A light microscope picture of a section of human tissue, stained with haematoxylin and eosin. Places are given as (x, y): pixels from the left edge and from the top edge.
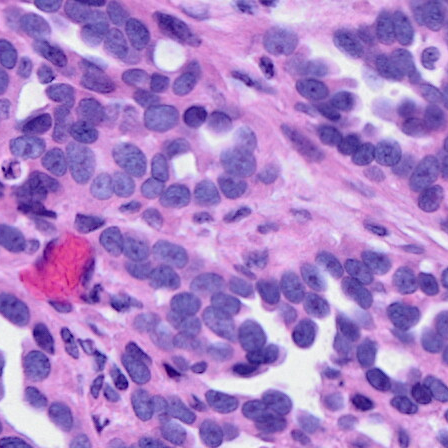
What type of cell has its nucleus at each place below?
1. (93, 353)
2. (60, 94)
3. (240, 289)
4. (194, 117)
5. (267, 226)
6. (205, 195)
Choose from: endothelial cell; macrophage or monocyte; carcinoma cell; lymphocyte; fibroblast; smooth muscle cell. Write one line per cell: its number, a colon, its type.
1: fibroblast
2: carcinoma cell
3: carcinoma cell
4: carcinoma cell
5: fibroblast
6: carcinoma cell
